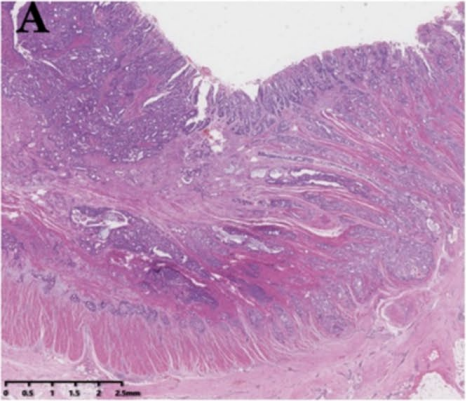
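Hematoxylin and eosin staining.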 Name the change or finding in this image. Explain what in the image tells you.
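The tumor tissue infiltrates the intestinal wall. Mucosa with glands lies at the top of the section. Purple tumor nests extend downward between pink muscle bundles toward the deep muscle layer.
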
